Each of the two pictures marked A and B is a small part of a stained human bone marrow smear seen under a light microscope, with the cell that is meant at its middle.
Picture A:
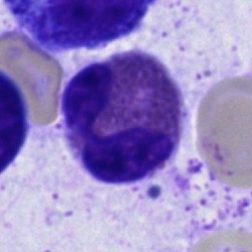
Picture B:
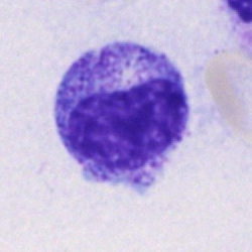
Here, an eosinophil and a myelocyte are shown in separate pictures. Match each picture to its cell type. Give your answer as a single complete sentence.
The cell in picture A is an eosinophil, and the one in picture B is a myelocyte.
